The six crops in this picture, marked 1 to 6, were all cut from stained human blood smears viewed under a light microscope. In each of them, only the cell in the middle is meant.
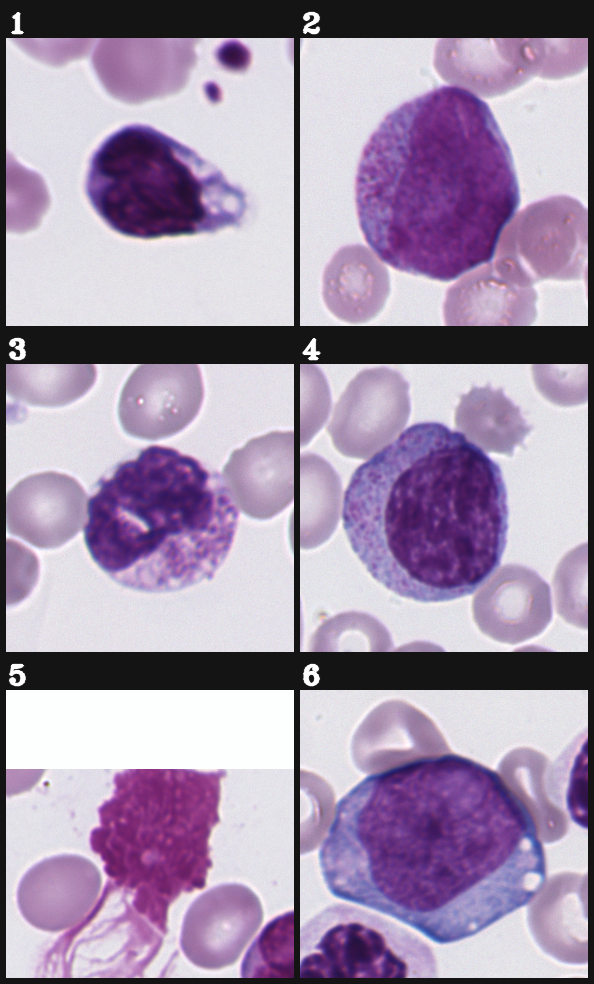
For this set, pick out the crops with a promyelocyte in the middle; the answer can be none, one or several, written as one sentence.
The cells at the centre of crops 2, 4 and 6 represent promyelocytes.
